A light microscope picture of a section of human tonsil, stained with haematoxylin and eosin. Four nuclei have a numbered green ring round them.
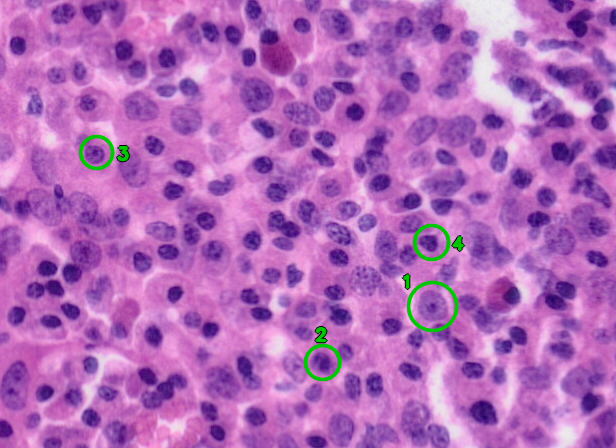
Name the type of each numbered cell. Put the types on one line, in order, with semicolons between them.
squamous epithelial cell; plasma cell; plasma cell; plasma cell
